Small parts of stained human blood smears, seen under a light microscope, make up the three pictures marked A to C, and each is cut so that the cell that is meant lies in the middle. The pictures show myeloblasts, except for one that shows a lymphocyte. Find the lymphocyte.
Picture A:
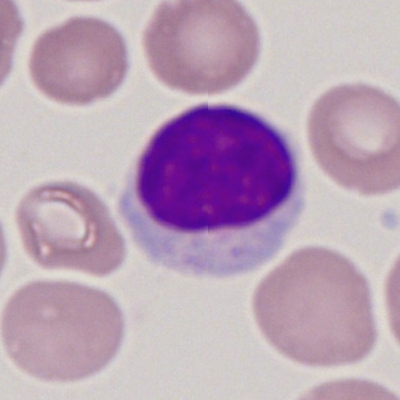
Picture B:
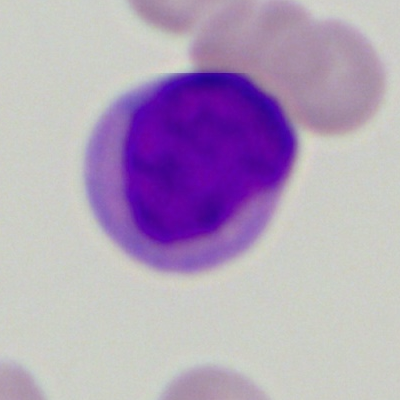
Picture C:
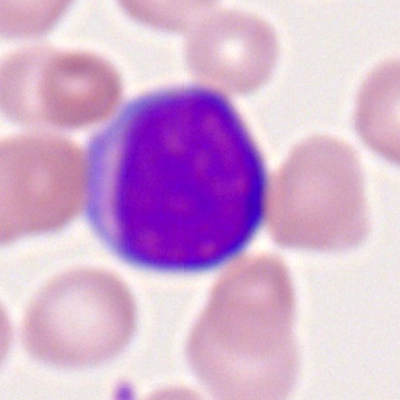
A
